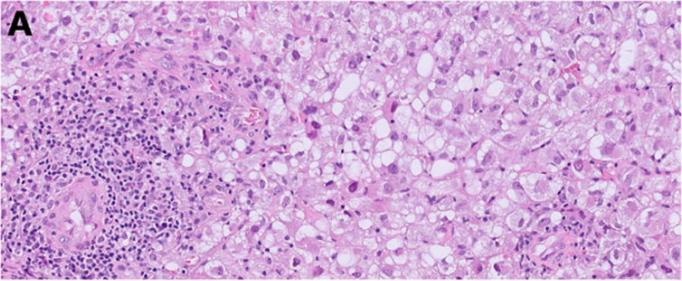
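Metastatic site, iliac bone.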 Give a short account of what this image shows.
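On the right, a solid sheet of large polygonal epithelioid cells fills the field, their cytoplasm clear and vacuolated or pale pink, with round nuclei. On the left lies a dense band of small round cells with dark nuclei and scant cytoplasm, a lymphocytic infiltrate at the edge of the tumor. A small vessel sits within this band of lymphocytes.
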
